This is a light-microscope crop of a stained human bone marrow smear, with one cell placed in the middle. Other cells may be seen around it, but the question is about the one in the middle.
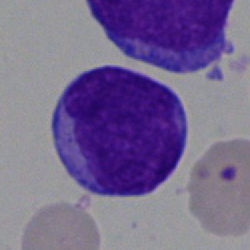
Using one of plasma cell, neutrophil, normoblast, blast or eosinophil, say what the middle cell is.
blast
